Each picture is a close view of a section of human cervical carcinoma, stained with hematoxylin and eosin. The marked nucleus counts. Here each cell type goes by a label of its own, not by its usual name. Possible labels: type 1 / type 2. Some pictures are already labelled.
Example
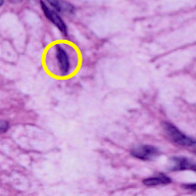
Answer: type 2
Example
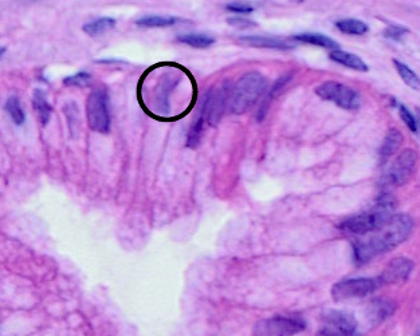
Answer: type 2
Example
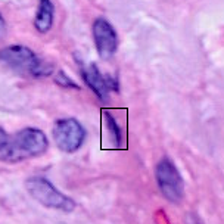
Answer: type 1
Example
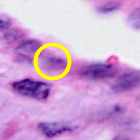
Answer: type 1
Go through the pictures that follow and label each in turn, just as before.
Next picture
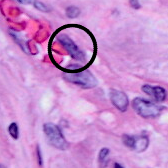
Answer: type 1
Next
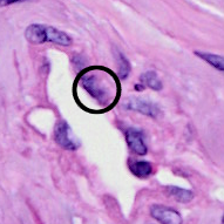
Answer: type 1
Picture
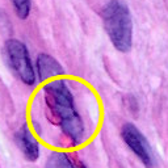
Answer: type 1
